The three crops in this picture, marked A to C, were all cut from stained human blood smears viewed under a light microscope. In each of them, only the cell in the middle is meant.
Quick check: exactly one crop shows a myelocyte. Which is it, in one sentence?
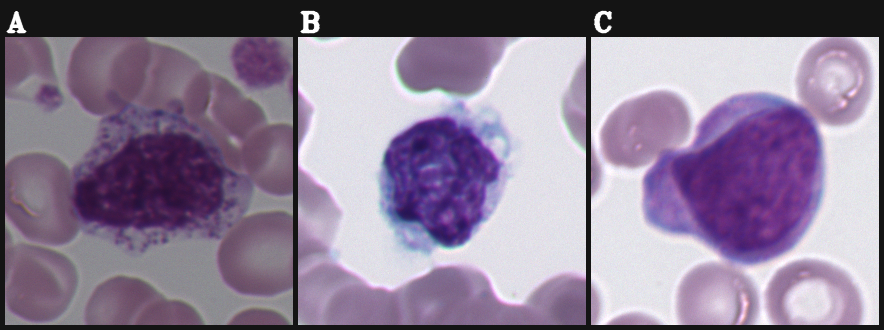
Only in crop A is a myelocyte shown.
